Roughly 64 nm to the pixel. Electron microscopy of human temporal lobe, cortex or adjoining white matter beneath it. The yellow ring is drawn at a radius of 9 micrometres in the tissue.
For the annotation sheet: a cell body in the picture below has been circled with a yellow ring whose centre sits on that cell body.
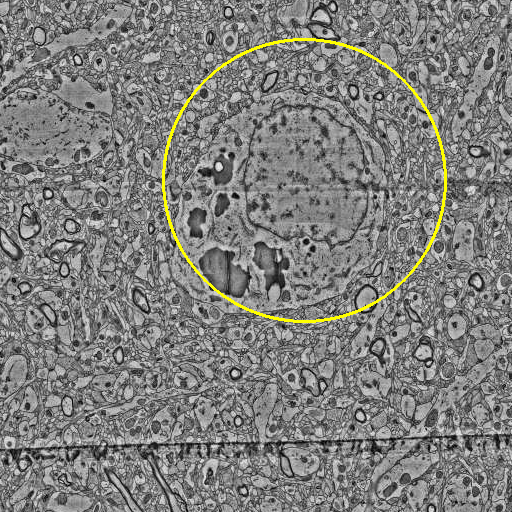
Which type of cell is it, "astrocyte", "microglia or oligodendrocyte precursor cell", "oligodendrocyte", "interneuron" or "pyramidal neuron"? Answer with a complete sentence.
The circled cell is an interneuron.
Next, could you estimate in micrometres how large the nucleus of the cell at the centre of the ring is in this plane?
In this plane the ringed cell's nucleus is roughly 9 micrometres across.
